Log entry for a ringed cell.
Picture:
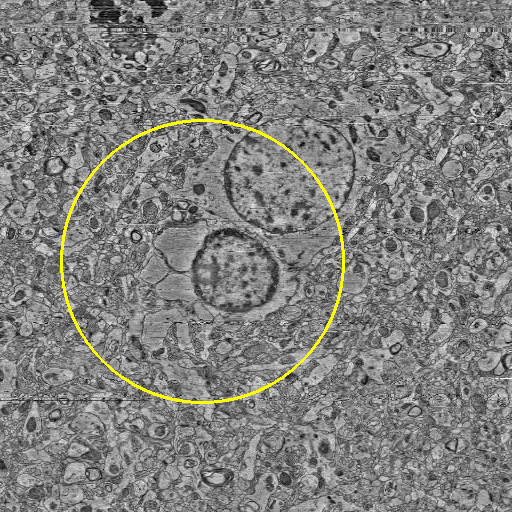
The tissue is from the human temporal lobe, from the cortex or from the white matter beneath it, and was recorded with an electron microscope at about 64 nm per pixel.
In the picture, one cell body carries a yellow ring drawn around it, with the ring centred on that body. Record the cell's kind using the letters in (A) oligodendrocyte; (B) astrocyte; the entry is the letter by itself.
B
